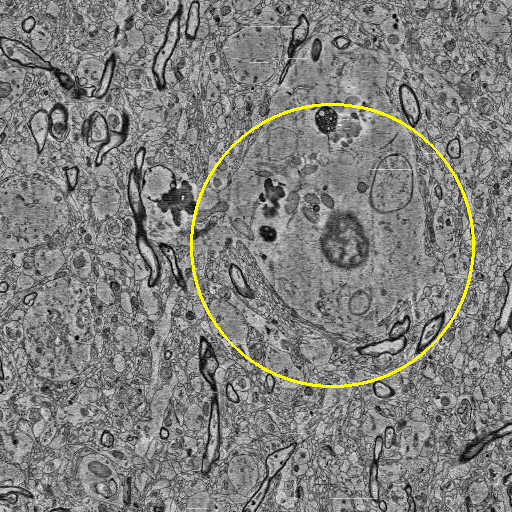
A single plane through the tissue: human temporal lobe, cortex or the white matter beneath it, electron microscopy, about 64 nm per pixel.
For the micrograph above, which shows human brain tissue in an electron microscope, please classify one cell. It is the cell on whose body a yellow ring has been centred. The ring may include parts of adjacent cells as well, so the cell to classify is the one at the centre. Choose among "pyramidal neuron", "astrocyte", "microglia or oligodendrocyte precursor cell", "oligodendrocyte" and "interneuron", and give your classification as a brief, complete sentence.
I classify this cell as an astrocyte.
